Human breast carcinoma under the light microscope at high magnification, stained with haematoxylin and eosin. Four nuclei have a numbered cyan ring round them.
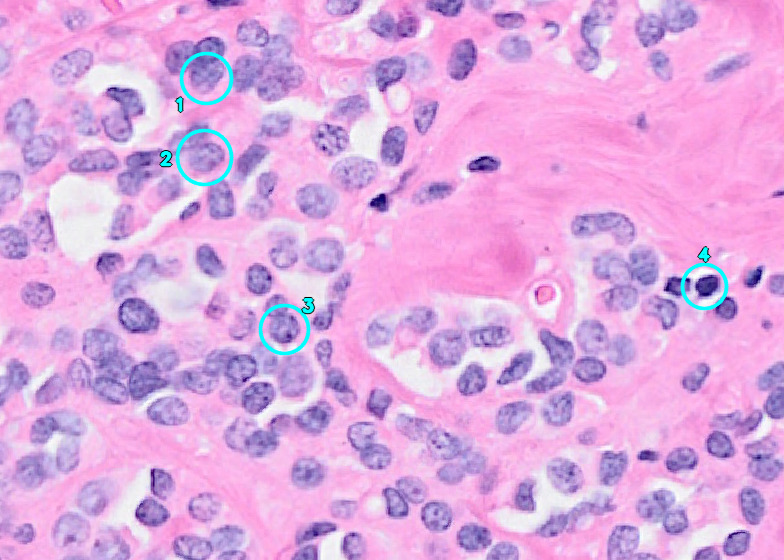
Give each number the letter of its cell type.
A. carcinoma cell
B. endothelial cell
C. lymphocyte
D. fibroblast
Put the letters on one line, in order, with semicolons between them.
A; A; A; C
